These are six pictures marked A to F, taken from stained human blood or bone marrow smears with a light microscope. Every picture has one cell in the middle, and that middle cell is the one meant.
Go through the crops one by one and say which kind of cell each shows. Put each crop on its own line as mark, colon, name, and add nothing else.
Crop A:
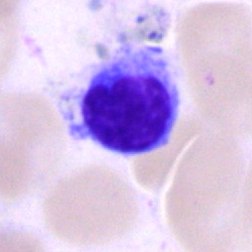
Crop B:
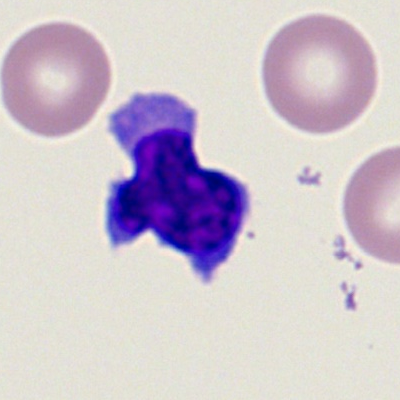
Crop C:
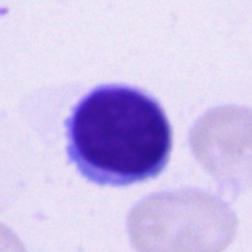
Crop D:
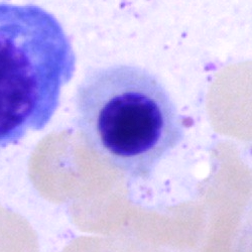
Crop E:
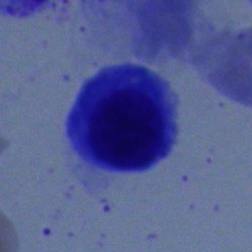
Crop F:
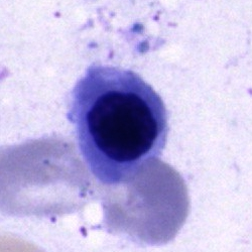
A: lymphocyte
B: lymphocyte
C: lymphocyte
D: erythroblast
E: erythroblast
F: erythroblast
